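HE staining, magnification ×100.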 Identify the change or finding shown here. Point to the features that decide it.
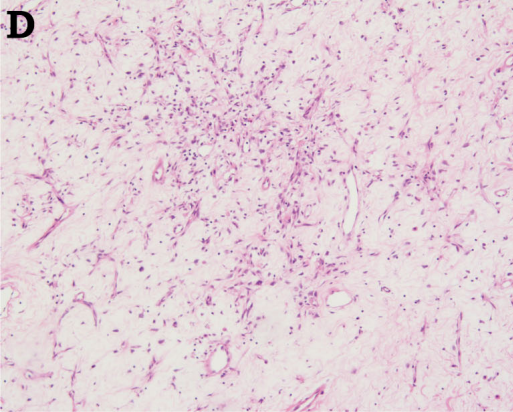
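The background is pale and loose with widely spaced cells. Thin stellate and spindle cells float in a faint, pale stroma. Small thin-walled vessels are scattered through it. The answer: myxoid change.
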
